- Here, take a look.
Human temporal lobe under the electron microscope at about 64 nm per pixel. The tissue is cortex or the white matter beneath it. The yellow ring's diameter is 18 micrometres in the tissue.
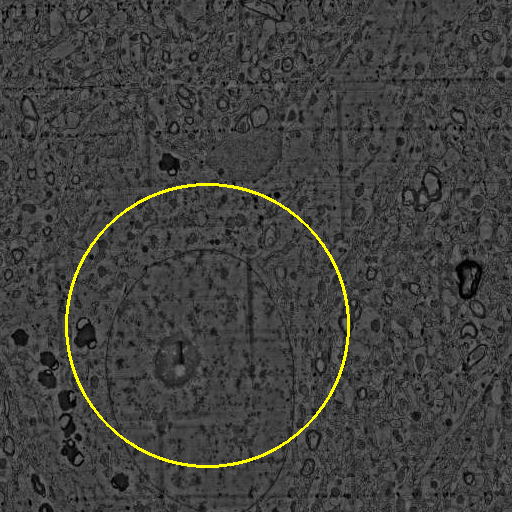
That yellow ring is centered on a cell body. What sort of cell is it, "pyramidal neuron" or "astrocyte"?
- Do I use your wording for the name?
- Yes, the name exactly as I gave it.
pyramidal neuron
